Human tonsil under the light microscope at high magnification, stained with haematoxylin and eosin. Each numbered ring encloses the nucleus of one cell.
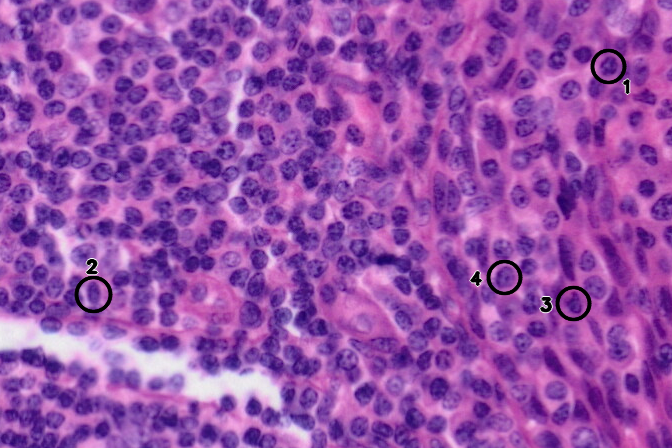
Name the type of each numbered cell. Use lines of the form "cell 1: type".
cell 1: plasma cell
cell 2: small lymphocyte
cell 3: plasma cell
cell 4: plasma cell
